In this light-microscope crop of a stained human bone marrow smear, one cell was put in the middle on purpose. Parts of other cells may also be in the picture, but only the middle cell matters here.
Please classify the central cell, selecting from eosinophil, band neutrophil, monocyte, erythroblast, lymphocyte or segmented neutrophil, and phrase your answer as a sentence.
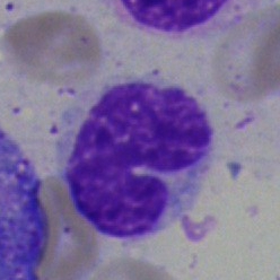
The cell under consideration, at the middle of the crop, is a monocyte.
